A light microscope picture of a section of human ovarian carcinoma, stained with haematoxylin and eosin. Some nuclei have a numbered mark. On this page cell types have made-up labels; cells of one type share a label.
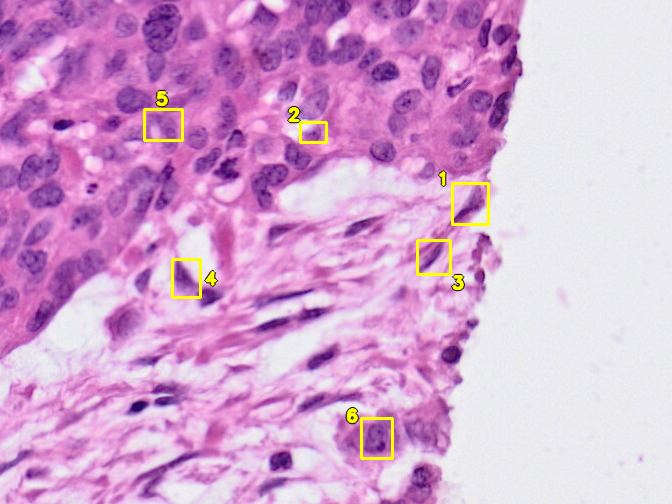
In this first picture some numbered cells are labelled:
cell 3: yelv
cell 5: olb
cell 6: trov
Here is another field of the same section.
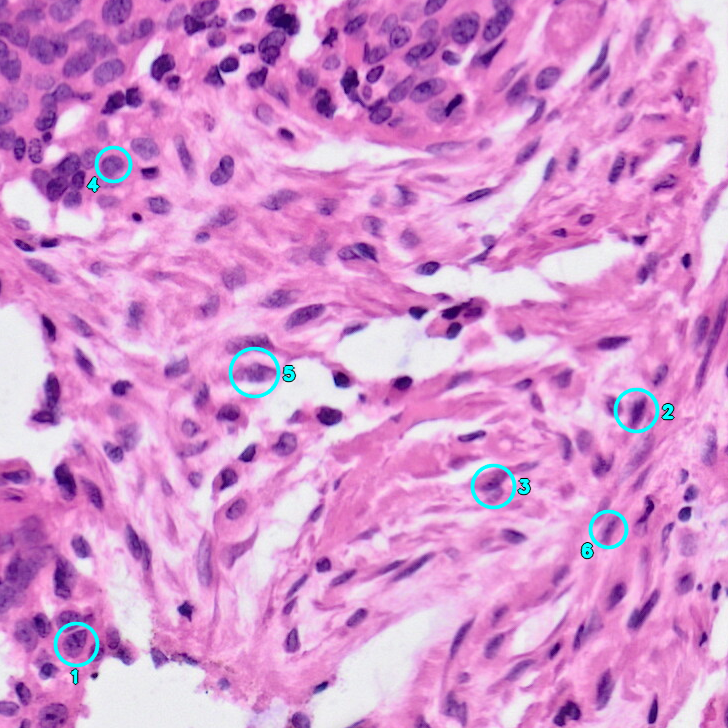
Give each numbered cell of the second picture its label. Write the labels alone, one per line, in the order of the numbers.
trov
yelv
yelv
olb
yelv
yelv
